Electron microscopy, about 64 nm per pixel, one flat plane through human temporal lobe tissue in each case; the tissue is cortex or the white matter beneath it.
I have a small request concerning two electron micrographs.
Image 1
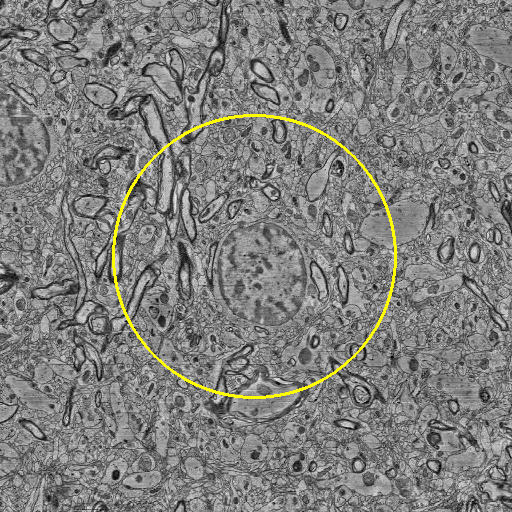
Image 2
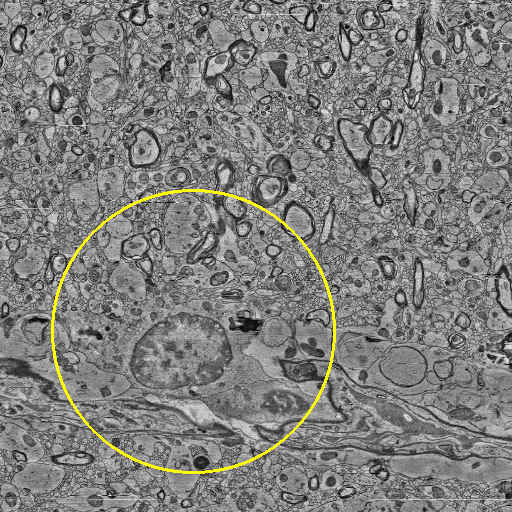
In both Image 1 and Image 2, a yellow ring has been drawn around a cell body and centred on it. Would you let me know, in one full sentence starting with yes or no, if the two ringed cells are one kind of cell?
Yes, the cells ringed in Image 1 and Image 2 are one kind of cell.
